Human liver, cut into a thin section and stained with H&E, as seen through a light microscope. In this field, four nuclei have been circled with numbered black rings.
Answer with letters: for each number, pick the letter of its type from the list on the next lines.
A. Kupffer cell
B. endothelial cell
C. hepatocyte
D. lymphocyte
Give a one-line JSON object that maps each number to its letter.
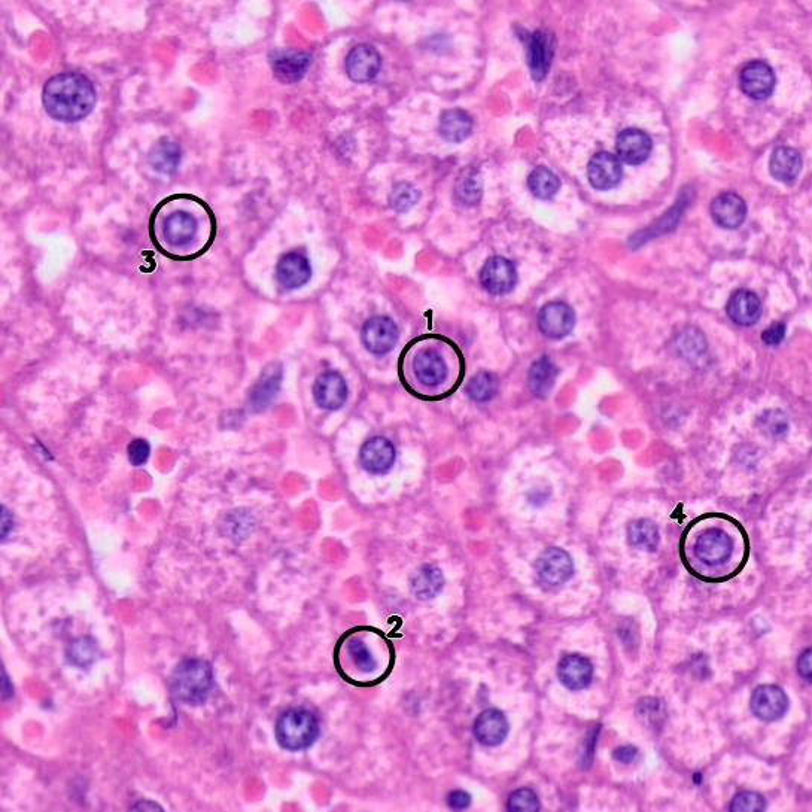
{"1": "C", "2": "D", "3": "C", "4": "C"}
